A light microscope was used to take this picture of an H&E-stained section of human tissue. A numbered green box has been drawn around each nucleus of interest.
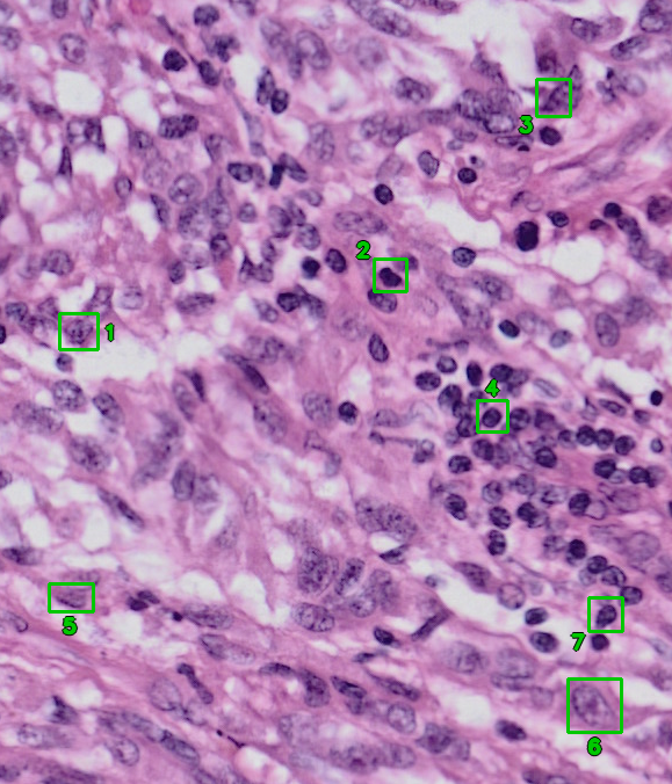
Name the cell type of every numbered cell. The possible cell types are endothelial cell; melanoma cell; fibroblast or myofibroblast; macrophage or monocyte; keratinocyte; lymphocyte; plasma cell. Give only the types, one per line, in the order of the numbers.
melanoma cell
lymphocyte
melanoma cell
lymphocyte
melanoma cell
melanoma cell
lymphocyte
